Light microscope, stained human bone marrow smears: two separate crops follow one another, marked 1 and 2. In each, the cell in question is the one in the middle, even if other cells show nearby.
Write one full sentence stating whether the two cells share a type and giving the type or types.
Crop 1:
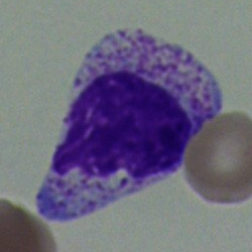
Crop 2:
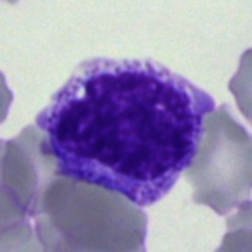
Yes, myelocytes lie at the centre of both crops.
